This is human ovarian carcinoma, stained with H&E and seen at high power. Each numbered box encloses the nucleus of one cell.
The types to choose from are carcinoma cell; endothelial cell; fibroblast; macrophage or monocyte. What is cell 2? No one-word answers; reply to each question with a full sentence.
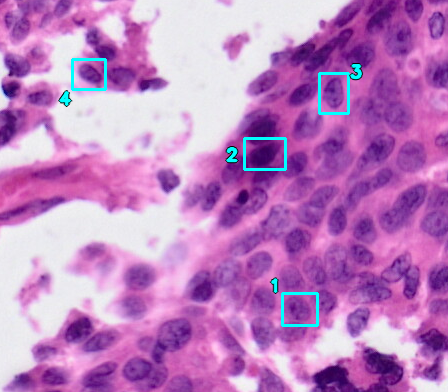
Cell 2 in the field of view is a carcinoma cell.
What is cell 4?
The numeral 4 marks a carcinoma cell in this section.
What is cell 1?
Cell 1, as marked in the section, is a carcinoma cell.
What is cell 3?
The cell bearing label 3 corresponds to a macrophage or monocyte.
